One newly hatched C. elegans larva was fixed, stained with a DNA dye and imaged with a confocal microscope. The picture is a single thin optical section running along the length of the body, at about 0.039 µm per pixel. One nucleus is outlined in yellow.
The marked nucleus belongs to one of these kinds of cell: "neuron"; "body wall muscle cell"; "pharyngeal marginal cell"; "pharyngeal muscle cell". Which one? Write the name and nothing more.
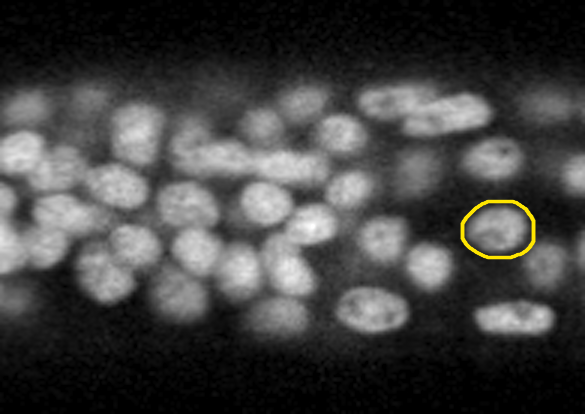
pharyngeal marginal cell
